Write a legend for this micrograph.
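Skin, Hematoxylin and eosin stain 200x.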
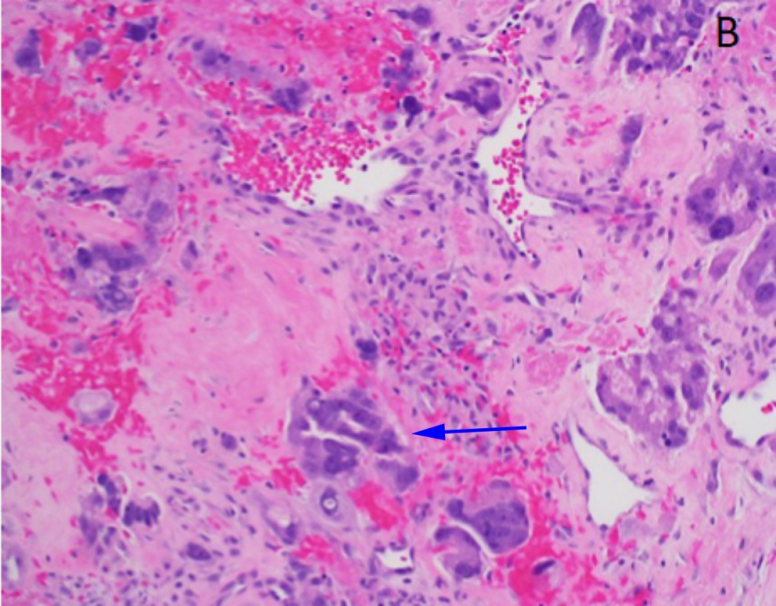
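Irregular clusters and sheets of large cells with dense purple cytoplasm and crowded, dark, enlarged nuclei are scattered among pink collagenous stroma. Several cell masses are large and multinucleated, with nuclei piled together. Between the tumor clusters lie small spindle-shaped stromal cells, thin-walled vessels and a few small round inflammatory cells. Many bright red blood cells lie outside the vessels throughout the field, giving the tissue a hemorrhagic appearance.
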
